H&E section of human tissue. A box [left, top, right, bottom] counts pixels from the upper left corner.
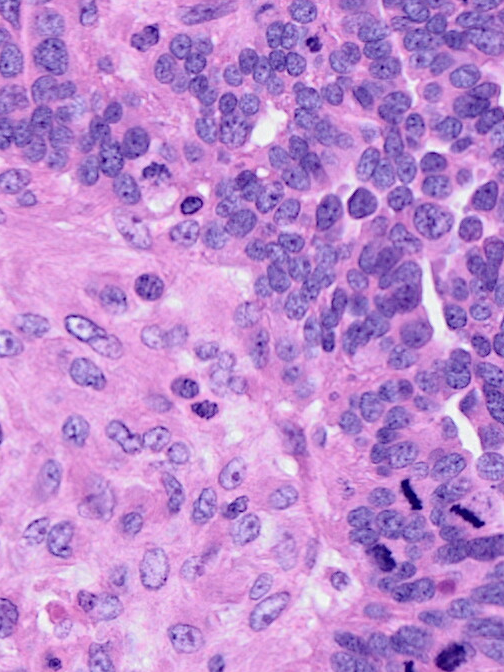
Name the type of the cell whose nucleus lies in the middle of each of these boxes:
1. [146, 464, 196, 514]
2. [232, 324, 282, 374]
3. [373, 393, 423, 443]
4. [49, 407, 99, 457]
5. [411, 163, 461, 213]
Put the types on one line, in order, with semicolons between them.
fibroblast; fibroblast; carcinoma cell; fibroblast; carcinoma cell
